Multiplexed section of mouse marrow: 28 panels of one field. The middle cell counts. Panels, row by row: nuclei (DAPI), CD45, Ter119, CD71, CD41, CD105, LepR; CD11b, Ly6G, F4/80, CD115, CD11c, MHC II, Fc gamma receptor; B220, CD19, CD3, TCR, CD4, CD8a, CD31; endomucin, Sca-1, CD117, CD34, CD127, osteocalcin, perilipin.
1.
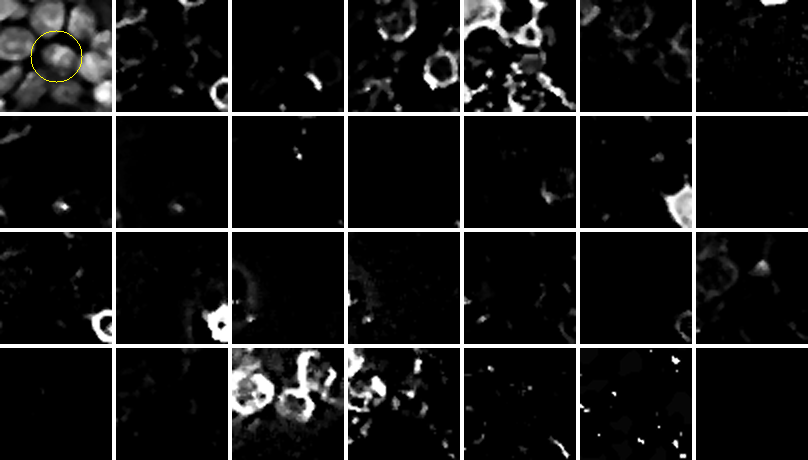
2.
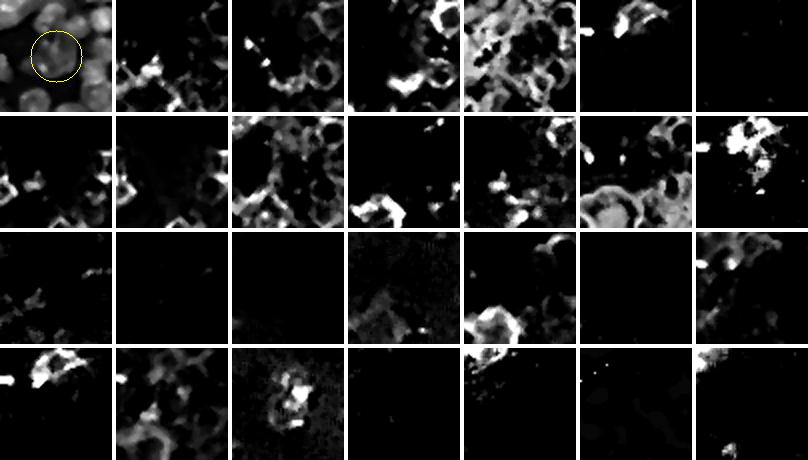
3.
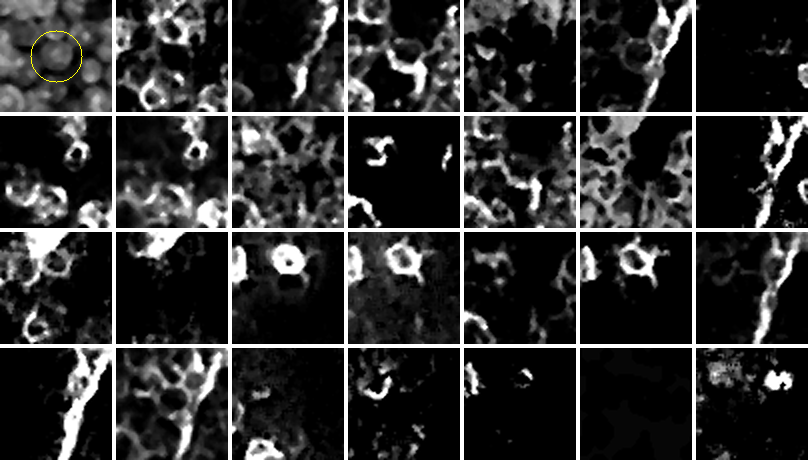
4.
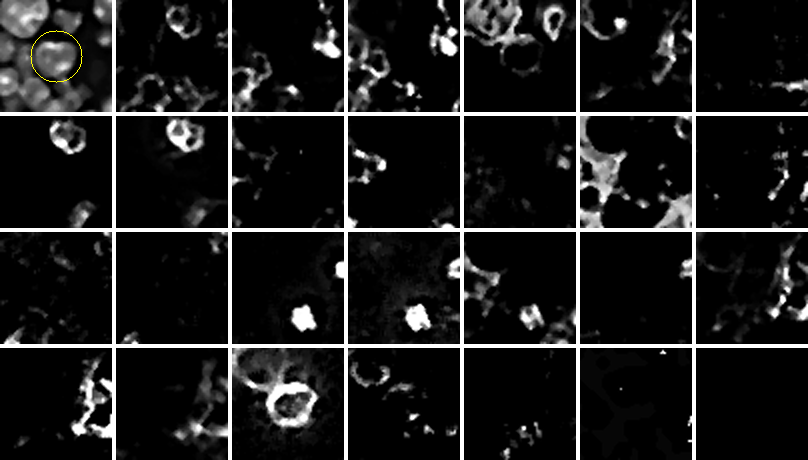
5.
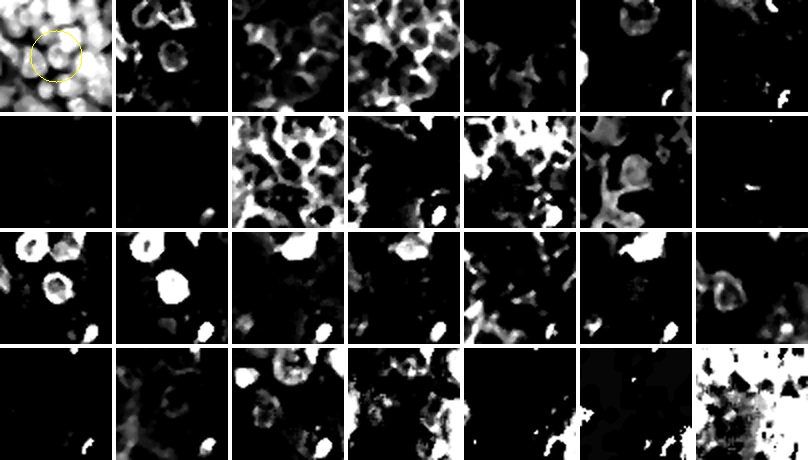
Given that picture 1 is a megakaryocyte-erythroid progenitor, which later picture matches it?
4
